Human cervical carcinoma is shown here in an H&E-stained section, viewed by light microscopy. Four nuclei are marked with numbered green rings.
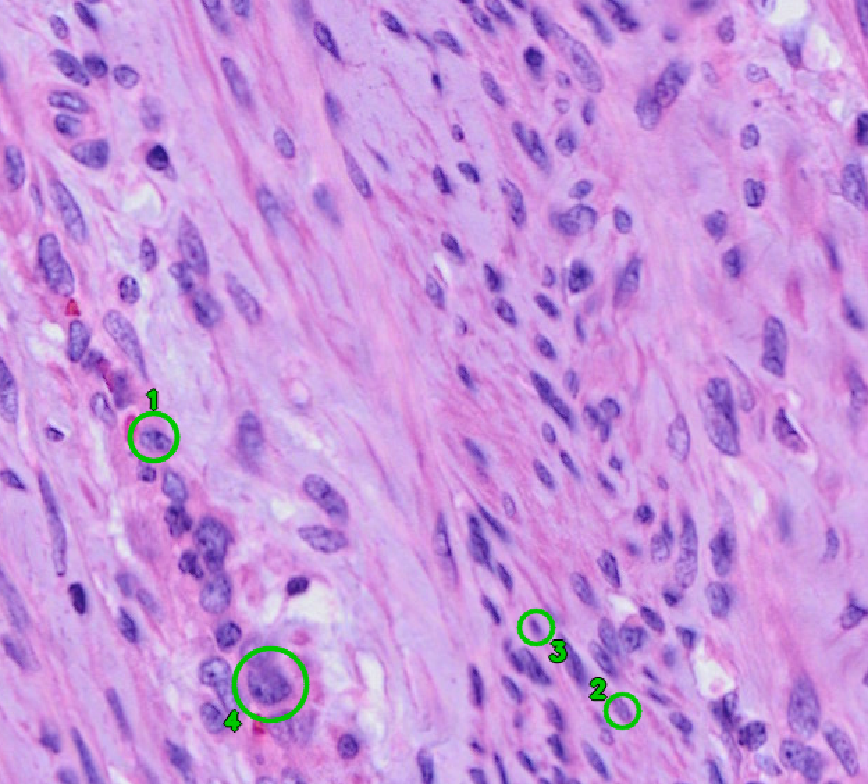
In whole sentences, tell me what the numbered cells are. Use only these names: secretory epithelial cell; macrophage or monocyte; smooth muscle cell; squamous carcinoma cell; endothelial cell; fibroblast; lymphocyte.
Cell 1 is an endothelial cell, cell 2 is a smooth muscle cell, cell 3 is a smooth muscle cell and cell 4 is an endothelial cell.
